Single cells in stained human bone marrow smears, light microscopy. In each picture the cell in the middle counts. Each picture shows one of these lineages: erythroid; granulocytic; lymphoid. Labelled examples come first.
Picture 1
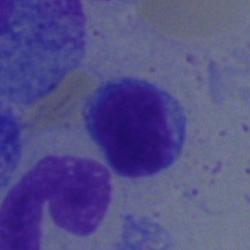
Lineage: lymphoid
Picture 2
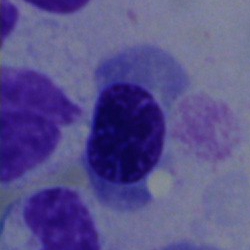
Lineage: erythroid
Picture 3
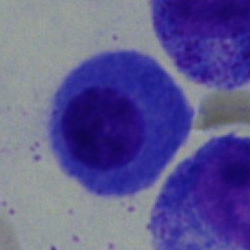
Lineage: lymphoid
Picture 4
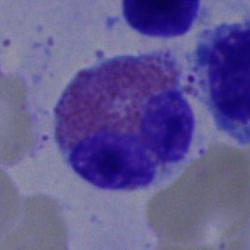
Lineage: granulocytic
